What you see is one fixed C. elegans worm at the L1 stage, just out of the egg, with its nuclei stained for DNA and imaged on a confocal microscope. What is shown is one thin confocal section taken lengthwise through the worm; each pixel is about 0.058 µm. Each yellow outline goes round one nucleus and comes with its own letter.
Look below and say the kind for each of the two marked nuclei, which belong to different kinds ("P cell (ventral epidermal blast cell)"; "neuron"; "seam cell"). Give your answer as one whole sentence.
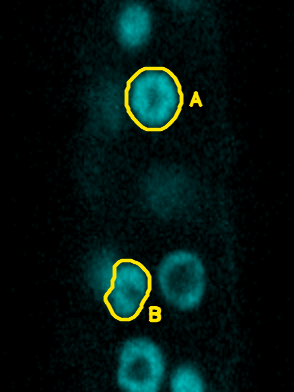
A is in a seam cell and B is in a P cell (ventral epidermal blast cell).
